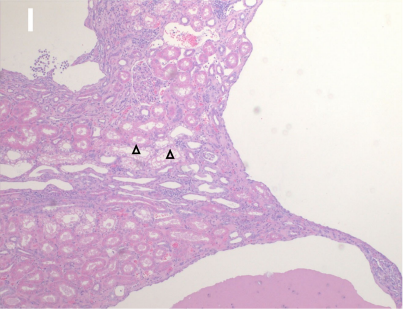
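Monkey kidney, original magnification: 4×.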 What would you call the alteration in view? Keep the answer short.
Multiple cystic cavities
